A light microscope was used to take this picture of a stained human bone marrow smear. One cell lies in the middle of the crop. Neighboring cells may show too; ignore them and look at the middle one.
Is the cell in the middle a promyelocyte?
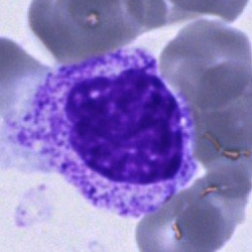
no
